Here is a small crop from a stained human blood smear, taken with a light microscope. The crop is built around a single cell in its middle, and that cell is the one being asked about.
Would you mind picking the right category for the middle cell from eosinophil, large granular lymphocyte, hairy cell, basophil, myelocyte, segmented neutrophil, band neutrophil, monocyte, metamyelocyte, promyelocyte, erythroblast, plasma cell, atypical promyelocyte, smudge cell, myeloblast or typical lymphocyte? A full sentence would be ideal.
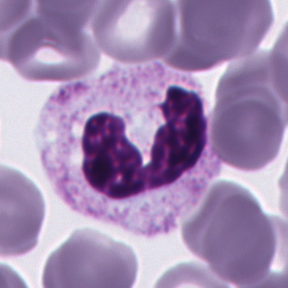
The cell centred in this crop is categorized as a segmented neutrophil.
